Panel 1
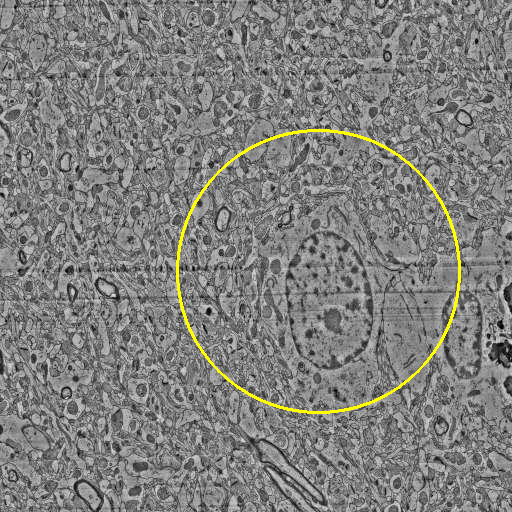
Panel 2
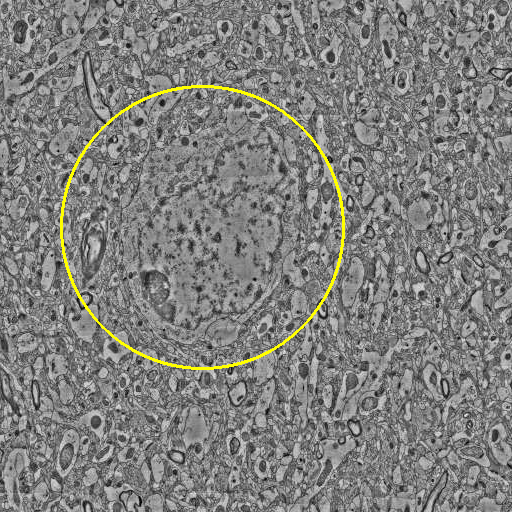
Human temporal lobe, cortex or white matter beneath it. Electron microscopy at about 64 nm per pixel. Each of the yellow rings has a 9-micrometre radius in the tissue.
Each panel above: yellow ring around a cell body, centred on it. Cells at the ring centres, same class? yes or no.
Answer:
no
